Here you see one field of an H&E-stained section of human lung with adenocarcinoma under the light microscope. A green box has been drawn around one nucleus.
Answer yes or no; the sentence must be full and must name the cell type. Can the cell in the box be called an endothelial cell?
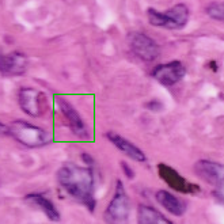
Yes, the cell in the box is to be classified as an endothelial cell.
